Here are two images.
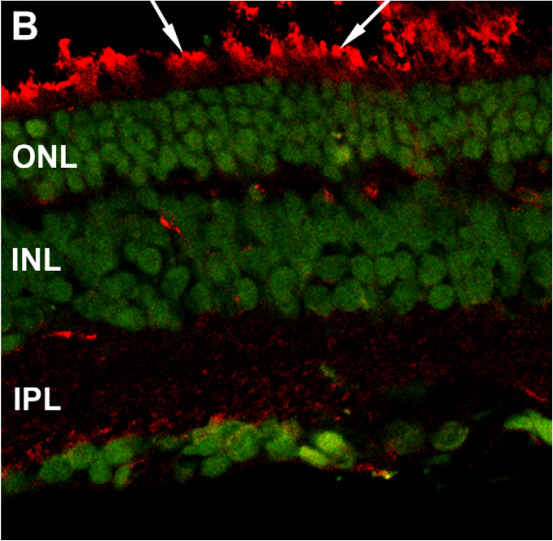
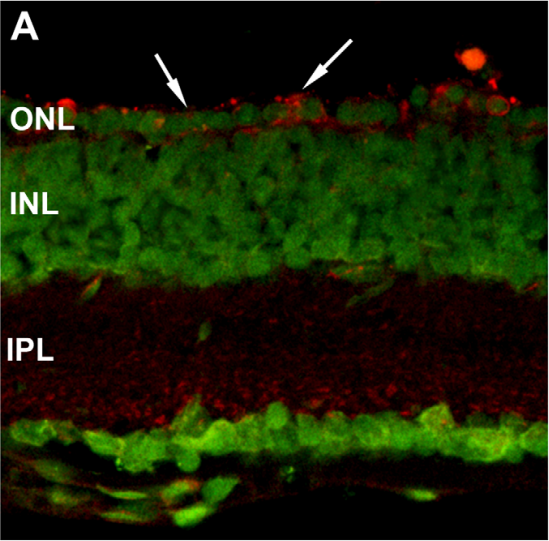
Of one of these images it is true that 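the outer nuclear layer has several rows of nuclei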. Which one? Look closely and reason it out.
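First image: the outer nuclear layer is a thick band of several rows of green nuclei. Second image: the outer nuclear layer is a thin band of about one or two rows of nuclei. That points to this answer: the first image.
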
